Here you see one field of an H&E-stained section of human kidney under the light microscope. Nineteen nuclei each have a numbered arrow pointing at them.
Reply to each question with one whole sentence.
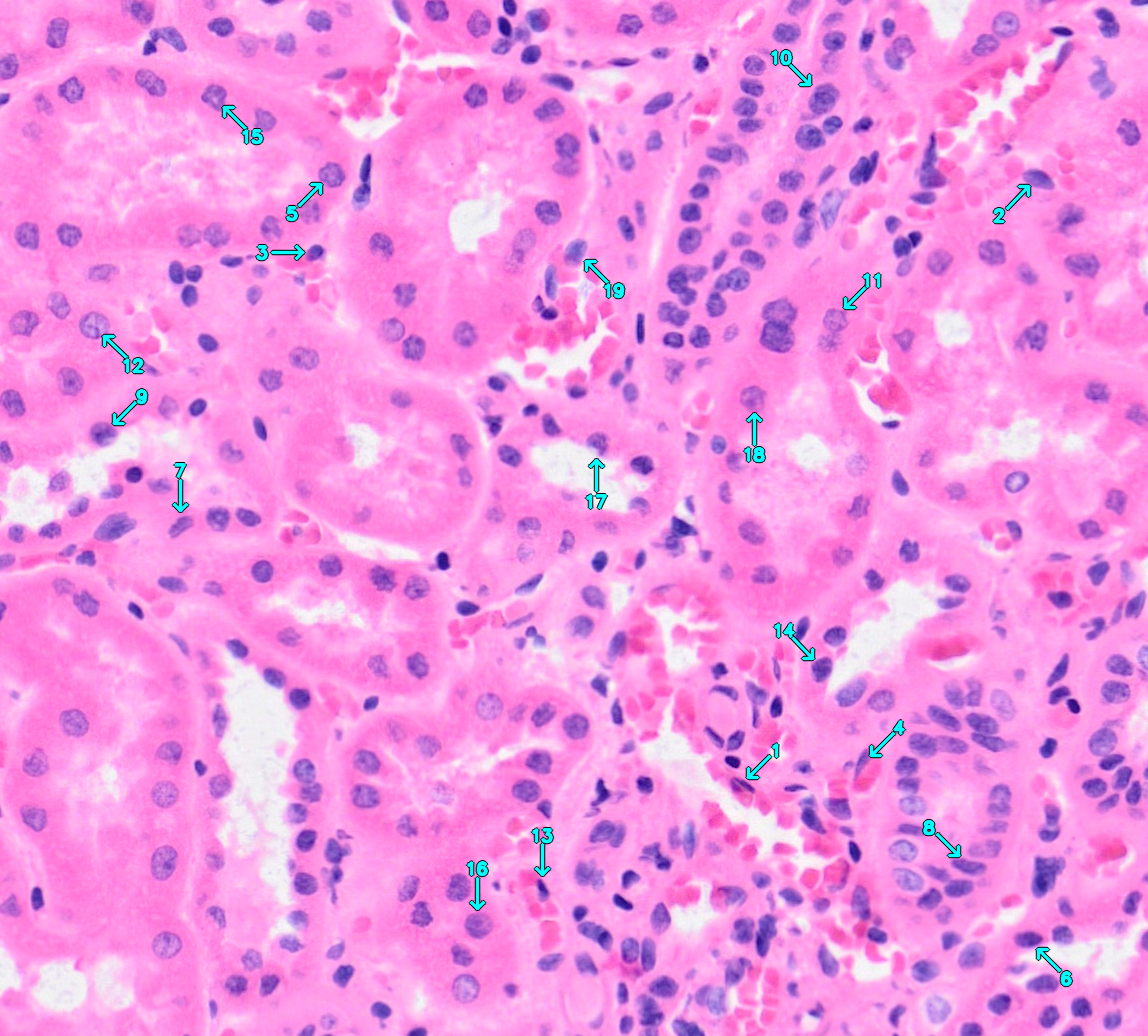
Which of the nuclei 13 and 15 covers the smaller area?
Nucleus 13 covers less area, with nucleus 15 about 2.5 times as large.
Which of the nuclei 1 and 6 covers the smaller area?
With nucleus 6 about 2 times its size, nucleus 1 is the smaller of the two.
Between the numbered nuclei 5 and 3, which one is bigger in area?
Nucleus 5 is larger, with an area about 2 times that of nucleus 3.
